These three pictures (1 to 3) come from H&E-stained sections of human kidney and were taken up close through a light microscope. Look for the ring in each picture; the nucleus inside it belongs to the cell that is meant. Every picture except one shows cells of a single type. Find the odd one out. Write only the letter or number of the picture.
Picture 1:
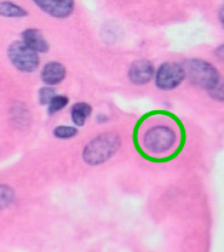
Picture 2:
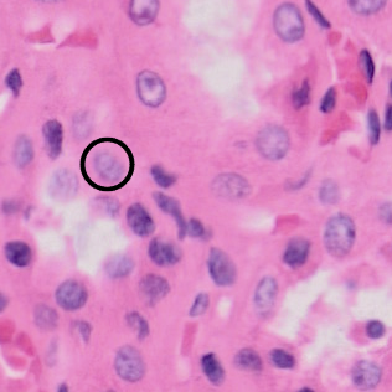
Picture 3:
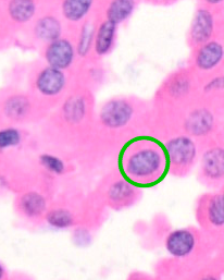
1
